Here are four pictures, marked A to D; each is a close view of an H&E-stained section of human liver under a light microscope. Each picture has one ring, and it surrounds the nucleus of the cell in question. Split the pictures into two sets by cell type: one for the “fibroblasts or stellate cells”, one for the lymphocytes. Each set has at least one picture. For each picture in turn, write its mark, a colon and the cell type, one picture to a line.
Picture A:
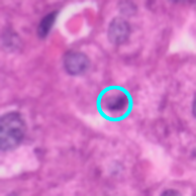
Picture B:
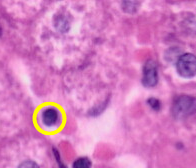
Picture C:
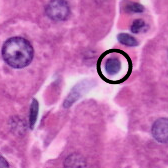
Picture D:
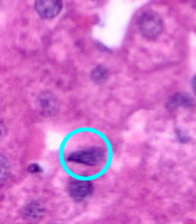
A: fibroblast or stellate cell
B: lymphocyte
C: lymphocyte
D: fibroblast or stellate cell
